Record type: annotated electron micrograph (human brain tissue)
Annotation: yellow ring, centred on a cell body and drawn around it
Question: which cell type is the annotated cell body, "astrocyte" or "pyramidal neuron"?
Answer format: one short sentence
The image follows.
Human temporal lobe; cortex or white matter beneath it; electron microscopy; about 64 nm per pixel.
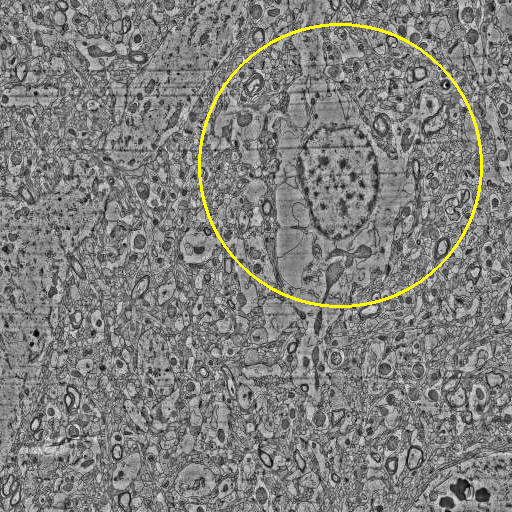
The annotated cell body is that of an astrocyte.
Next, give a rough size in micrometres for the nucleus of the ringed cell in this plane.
In this plane, the nucleus of the cell at the centre of the ring measures about 7 by 5 micrometres.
